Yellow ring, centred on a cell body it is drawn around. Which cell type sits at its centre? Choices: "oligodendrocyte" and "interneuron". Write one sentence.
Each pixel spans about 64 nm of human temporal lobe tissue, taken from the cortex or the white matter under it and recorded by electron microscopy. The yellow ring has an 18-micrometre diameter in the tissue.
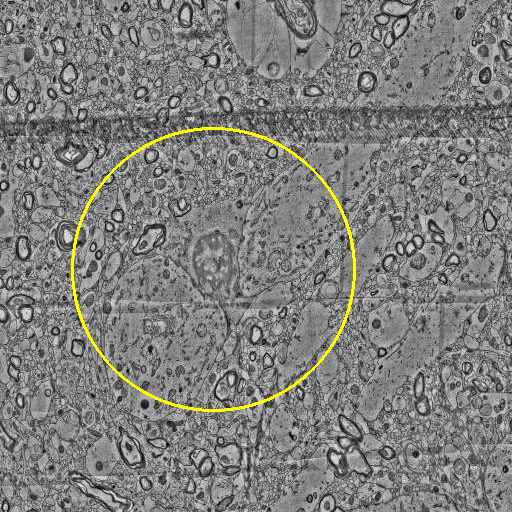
At the centre of the ring sits an oligodendrocyte.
